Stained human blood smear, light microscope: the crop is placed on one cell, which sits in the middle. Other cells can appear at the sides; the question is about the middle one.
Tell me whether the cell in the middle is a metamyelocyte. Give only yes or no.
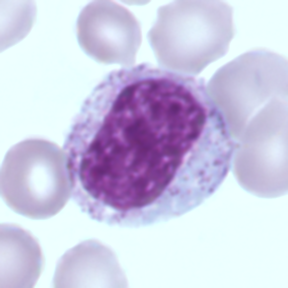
yes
